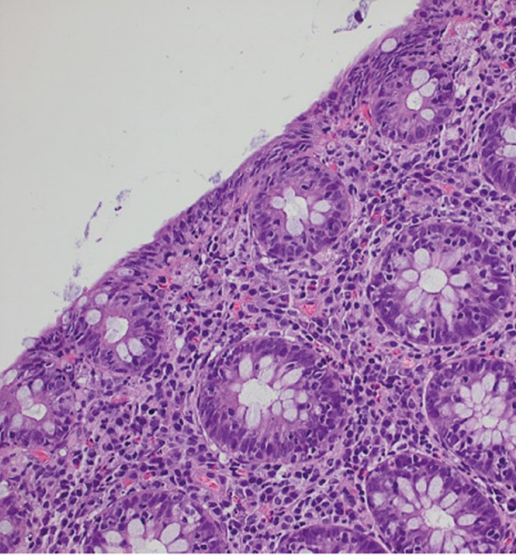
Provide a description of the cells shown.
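This is colonic mucosa with crypts cut in cross-section, each lined by columnar epithelium with clear goblet cells around a small lumen. The surface epithelium is crowded with small, dark, round nuclei of lymphocytes lying among the taller epithelial cells. The lamina propria between the crypts is densely cellular with a mixed inflammatory infiltrate and small blood vessels with red cells. No thick pink band lies under the surface here.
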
